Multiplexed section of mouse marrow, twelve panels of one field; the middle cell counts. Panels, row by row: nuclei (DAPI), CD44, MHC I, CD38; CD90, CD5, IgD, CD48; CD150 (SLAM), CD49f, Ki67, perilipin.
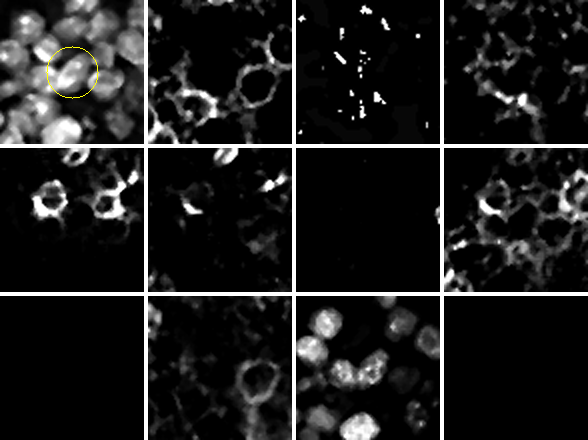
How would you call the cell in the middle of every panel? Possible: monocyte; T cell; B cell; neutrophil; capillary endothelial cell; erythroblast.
I would call it an erythroblast.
